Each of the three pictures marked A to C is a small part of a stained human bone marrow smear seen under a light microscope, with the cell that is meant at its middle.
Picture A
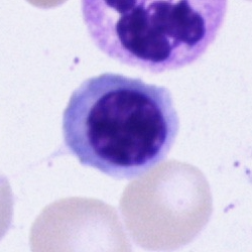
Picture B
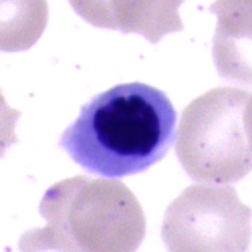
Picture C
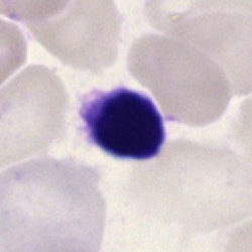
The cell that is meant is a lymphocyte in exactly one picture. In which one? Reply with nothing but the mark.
C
